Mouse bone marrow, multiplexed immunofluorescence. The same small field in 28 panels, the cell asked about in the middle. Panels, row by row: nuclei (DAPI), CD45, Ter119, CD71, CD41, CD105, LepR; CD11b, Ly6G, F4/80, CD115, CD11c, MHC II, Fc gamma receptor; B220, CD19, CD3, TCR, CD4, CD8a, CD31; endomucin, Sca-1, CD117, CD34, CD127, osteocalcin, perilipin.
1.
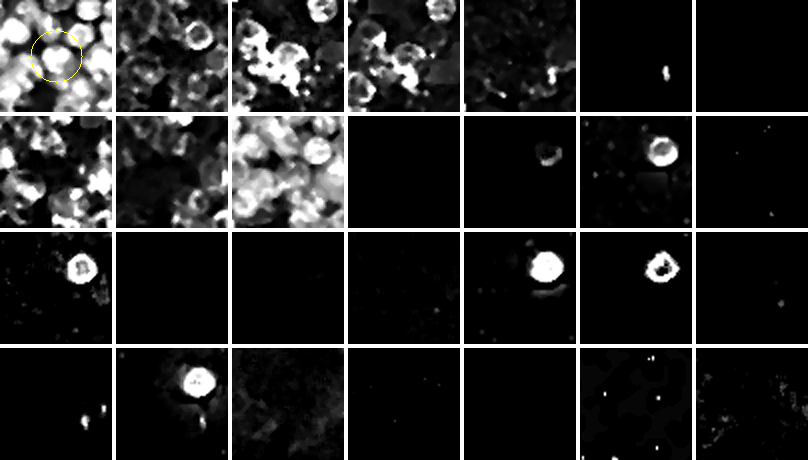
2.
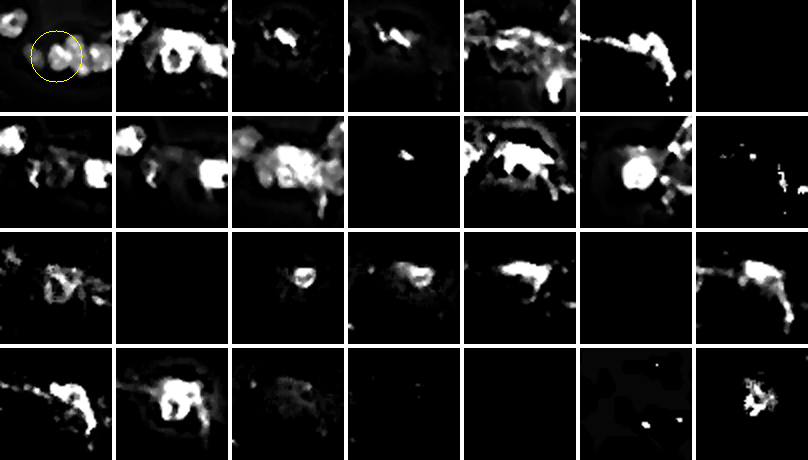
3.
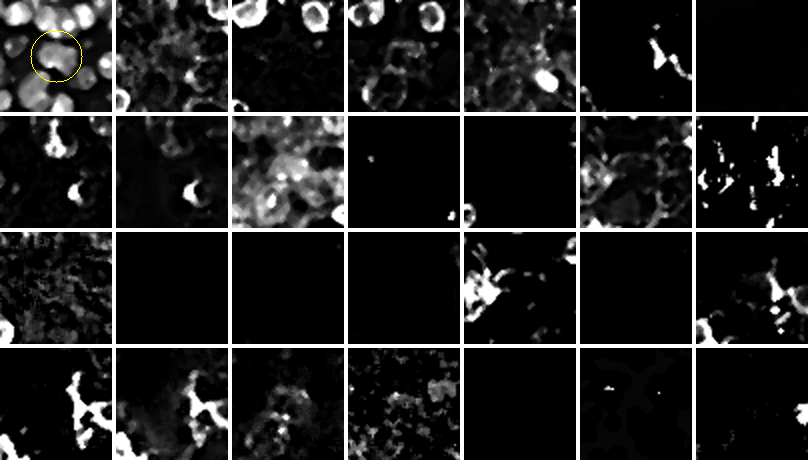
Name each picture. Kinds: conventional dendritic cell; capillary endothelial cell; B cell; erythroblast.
1: erythroblast
2: conventional dendritic cell
3: capillary endothelial cell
